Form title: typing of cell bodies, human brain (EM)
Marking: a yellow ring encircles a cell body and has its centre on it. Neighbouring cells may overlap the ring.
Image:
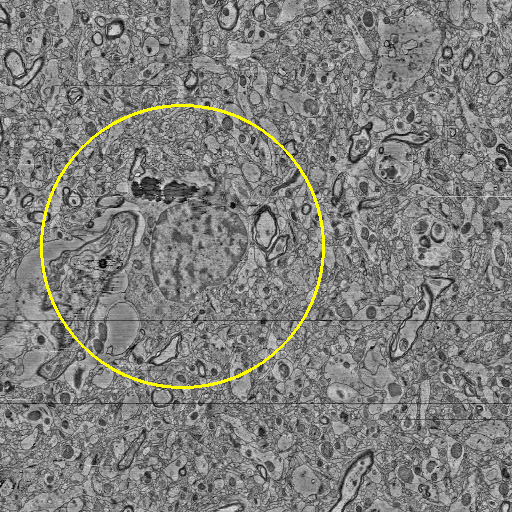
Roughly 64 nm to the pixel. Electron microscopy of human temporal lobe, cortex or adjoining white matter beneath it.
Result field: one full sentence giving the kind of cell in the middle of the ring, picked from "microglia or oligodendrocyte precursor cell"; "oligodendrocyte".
In the picture, the ring is centred on an oligodendrocyte, whose cell body it encircles.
